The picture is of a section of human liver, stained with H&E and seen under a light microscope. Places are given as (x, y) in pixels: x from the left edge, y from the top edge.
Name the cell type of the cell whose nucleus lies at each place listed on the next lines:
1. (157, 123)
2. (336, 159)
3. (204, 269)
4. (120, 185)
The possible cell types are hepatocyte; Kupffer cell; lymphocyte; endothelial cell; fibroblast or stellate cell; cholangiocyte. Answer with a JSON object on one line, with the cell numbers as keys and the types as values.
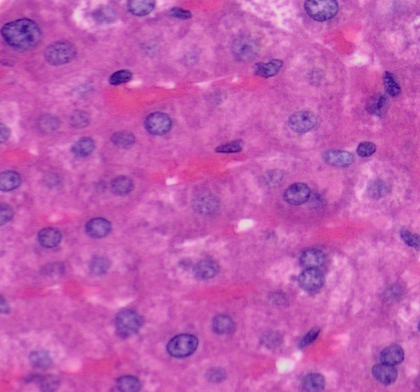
{"1": "hepatocyte", "2": "cholangiocyte", "3": "hepatocyte", "4": "hepatocyte"}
